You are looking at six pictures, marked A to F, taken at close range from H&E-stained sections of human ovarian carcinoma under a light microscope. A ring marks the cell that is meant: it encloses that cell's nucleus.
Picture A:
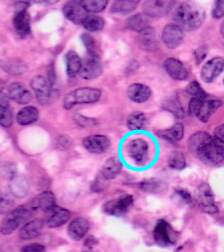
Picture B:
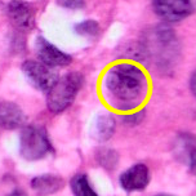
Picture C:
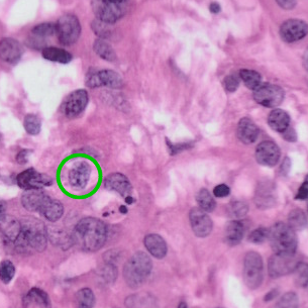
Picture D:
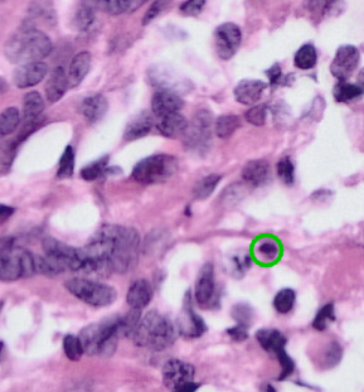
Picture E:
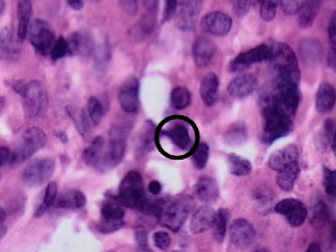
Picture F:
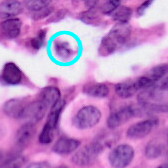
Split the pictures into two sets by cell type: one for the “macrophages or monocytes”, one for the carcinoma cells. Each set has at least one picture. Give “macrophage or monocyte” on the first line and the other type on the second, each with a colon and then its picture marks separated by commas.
macrophage or monocyte: A, C, D
carcinoma cell: B, E, F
